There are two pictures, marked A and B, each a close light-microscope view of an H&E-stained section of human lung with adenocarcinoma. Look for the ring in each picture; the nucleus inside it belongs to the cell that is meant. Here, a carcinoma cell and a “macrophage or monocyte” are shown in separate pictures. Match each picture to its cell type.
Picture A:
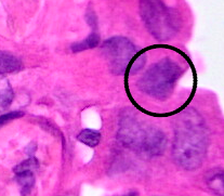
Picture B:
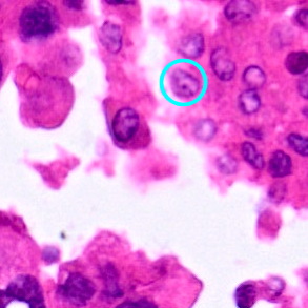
A: carcinoma cell
B: macrophage or monocyte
